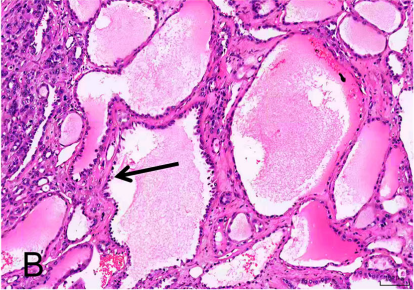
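Cystic area made of many rounded cavities of differing sizes filled with pale pink, homogeneous to finely granular material. The cavities are lined by a single layer of cells with eosinophilic cytoplasm whose nuclei bulge into the lumen, giving a hobnail profile. Thin fibrous septa with small vessels and scattered stromal cells separate neighbouring cavities. Some smaller spaces contain denser pink material and a few red blood cells. Toward one edge the cavities become smaller and the tissue more cellular.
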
